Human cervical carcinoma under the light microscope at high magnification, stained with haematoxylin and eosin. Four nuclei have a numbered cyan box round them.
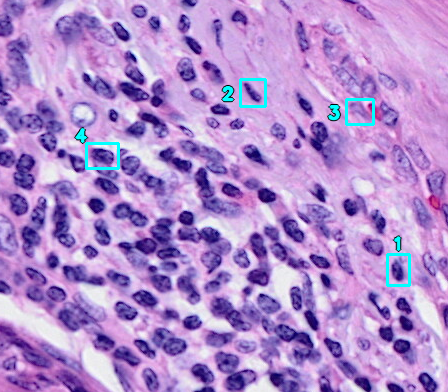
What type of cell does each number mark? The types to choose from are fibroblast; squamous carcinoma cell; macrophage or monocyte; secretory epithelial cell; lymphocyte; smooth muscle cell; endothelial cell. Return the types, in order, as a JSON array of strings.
["lymphocyte", "fibroblast", "endothelial cell", "lymphocyte"]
